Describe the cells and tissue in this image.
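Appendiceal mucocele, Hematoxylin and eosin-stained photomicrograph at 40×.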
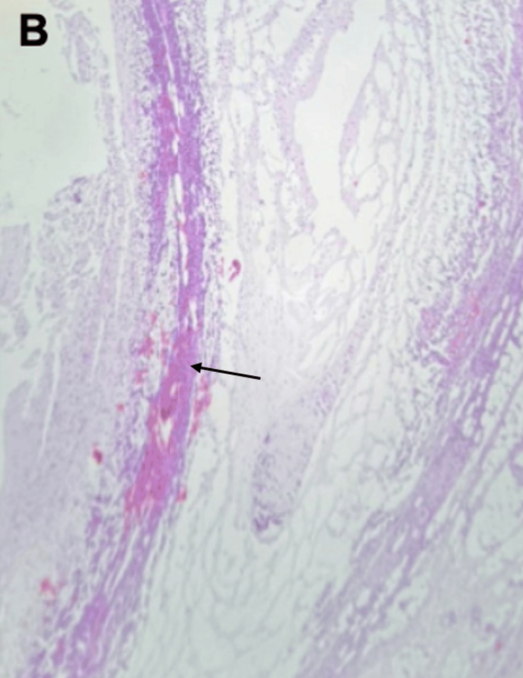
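The lumen contains pale, wispy, faintly blue material in streaming layers. A darker purple strip of tissue runs vertically along the left, with red blood cells scattered within it.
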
